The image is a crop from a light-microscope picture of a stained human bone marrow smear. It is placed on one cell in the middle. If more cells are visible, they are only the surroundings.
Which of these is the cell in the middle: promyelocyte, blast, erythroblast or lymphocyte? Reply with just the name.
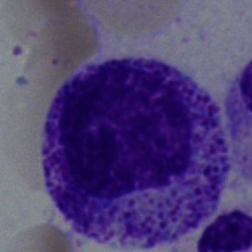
promyelocyte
